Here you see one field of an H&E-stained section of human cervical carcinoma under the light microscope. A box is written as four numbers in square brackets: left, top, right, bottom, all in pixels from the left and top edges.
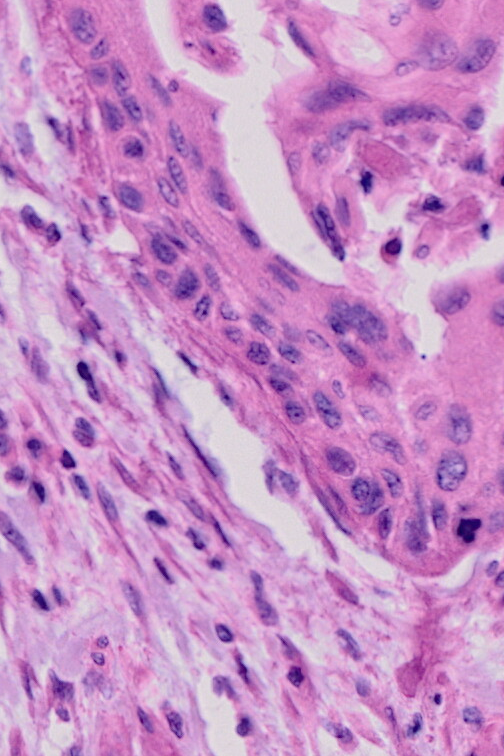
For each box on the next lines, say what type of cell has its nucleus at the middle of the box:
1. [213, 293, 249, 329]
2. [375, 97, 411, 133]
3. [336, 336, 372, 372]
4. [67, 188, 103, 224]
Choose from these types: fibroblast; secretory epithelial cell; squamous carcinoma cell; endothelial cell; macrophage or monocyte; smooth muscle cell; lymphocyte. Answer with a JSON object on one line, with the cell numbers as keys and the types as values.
{"1": "squamous carcinoma cell", "2": "squamous carcinoma cell", "3": "squamous carcinoma cell", "4": "fibroblast"}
